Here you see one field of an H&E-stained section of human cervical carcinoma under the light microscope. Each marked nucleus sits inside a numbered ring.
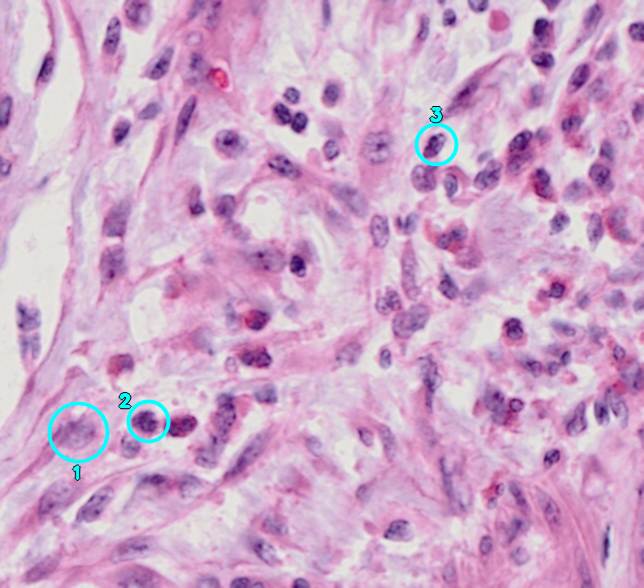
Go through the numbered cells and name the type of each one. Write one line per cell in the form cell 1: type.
cell 1: fibroblast
cell 2: lymphocyte
cell 3: lymphocyte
